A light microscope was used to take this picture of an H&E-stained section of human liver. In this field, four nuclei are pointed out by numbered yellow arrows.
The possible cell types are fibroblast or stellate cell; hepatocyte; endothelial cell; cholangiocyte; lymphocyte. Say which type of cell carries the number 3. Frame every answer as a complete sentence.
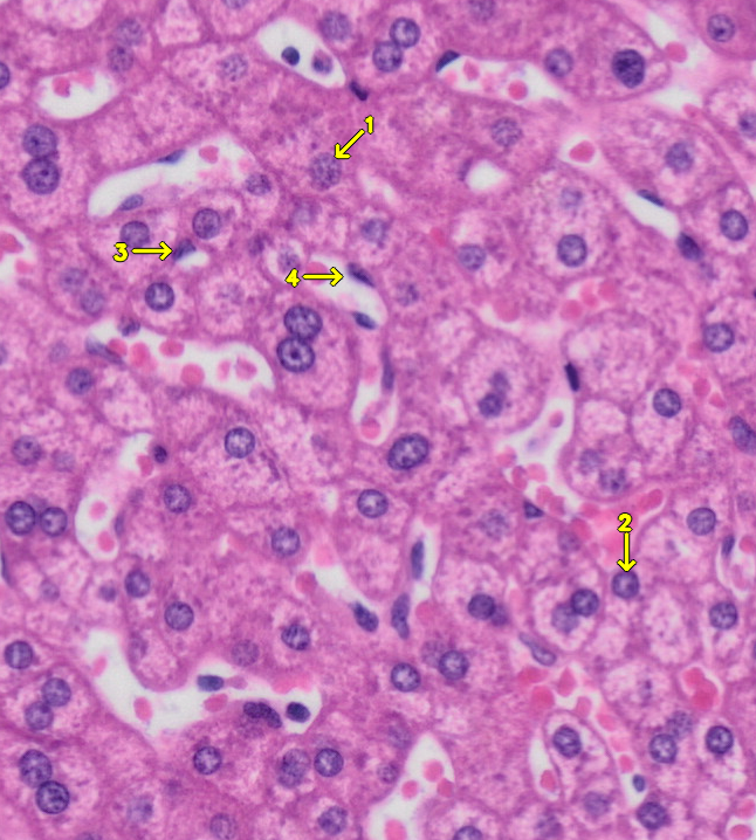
The cell marked with the number 3 is an endothelial cell.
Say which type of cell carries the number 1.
Cell 1, among those numbered, is a hepatocyte.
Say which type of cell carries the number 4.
The marked nucleus 4 is that of an endothelial cell.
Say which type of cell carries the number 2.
Recognised here as a hepatocyte is the cell numbered 2.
